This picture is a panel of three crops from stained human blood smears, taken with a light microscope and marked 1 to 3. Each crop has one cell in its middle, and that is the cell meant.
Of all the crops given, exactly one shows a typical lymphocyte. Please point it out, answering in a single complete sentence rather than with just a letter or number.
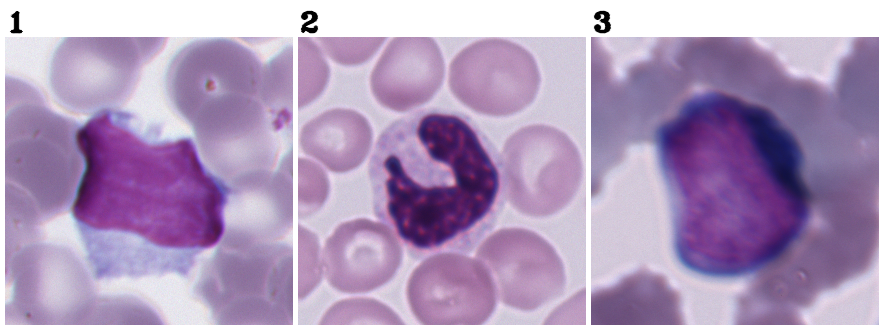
On review of the set, crop 1 is the one showing a typical lymphocyte.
